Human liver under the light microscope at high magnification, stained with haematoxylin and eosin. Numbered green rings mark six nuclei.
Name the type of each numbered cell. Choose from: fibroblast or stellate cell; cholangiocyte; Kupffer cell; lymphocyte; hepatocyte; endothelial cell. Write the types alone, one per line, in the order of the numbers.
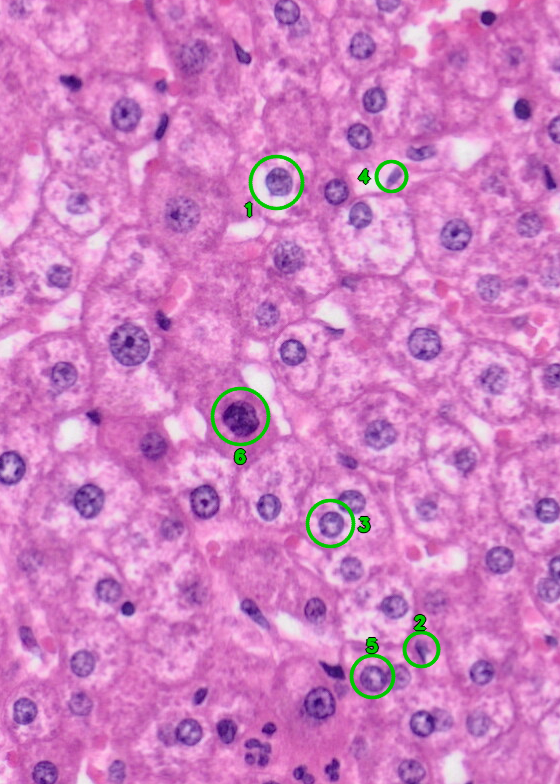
hepatocyte
endothelial cell
hepatocyte
lymphocyte
hepatocyte
hepatocyte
